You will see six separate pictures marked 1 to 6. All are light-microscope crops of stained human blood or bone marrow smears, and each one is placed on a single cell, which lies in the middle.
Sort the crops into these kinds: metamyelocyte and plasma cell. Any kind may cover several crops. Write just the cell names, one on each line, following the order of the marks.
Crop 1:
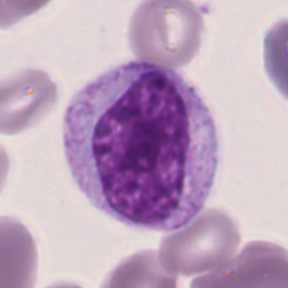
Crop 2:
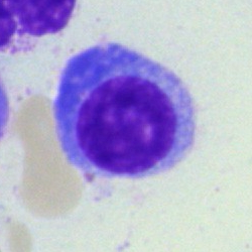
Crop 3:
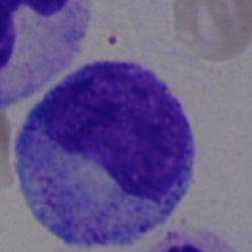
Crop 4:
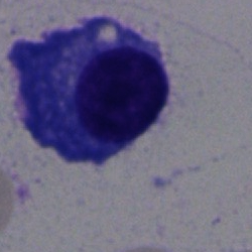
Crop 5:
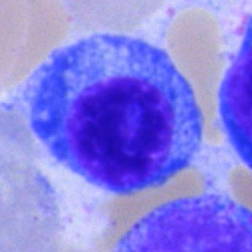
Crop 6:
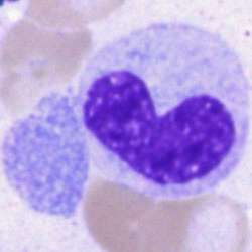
metamyelocyte
plasma cell
metamyelocyte
plasma cell
plasma cell
metamyelocyte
